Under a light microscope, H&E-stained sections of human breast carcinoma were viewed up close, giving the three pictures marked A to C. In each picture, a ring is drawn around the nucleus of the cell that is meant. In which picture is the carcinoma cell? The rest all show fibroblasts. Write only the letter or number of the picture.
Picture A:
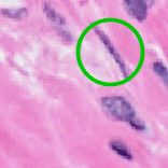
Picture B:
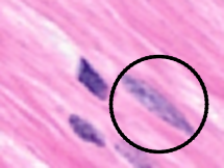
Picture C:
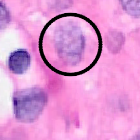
C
